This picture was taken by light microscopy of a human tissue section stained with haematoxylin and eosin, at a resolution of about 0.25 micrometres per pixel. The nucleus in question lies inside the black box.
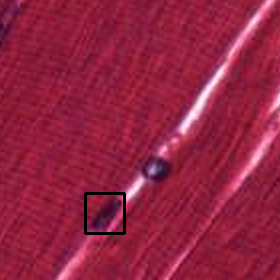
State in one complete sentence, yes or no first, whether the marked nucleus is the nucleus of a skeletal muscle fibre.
Yes, the nucleus that carries the mark belongs to a skeletal muscle fibre.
